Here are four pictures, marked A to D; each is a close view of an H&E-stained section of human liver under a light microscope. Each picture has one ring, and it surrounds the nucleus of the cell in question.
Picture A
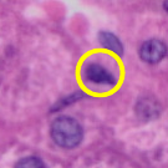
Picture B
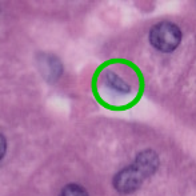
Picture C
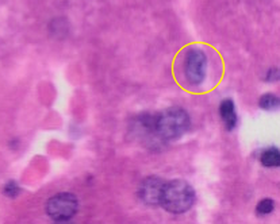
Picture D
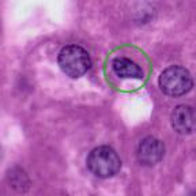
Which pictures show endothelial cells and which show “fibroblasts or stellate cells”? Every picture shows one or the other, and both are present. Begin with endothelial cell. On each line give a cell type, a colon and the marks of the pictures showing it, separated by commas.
endothelial cell: B
fibroblast or stellate cell: A, C, D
